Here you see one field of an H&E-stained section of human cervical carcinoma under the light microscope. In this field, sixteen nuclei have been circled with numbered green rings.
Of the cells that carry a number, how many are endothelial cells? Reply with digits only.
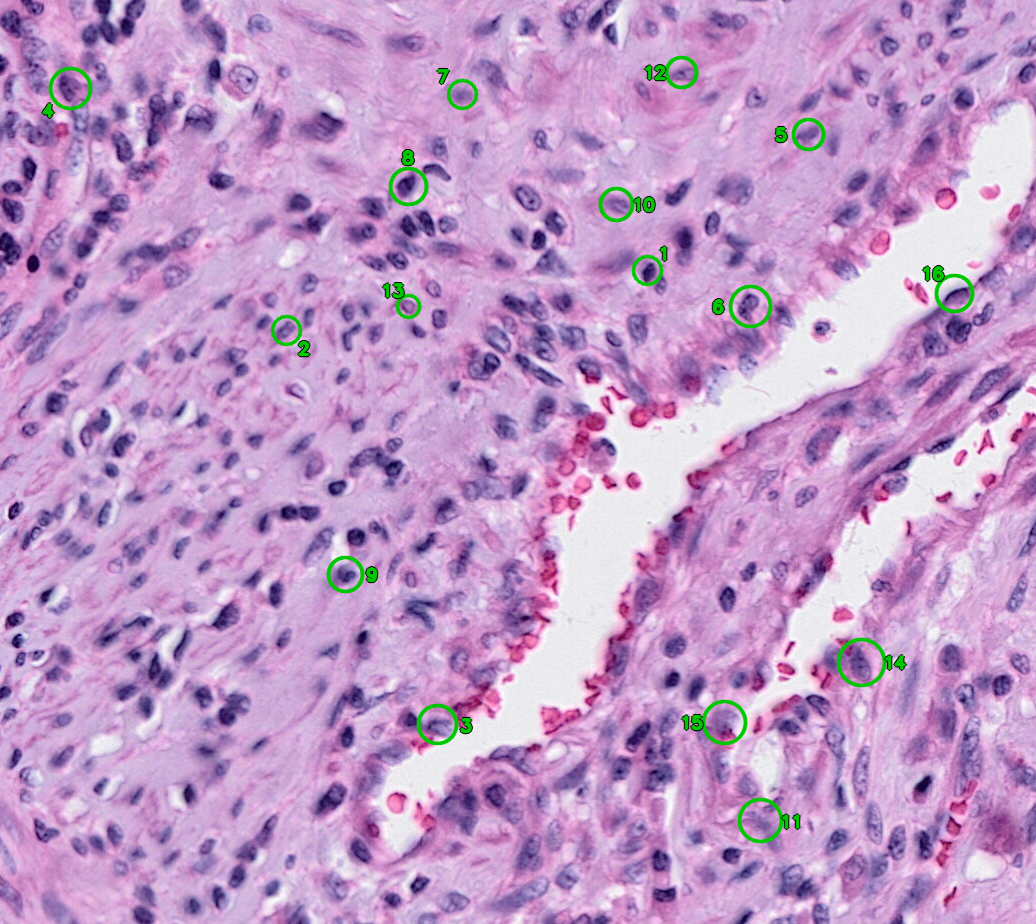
6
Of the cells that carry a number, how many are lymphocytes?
4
